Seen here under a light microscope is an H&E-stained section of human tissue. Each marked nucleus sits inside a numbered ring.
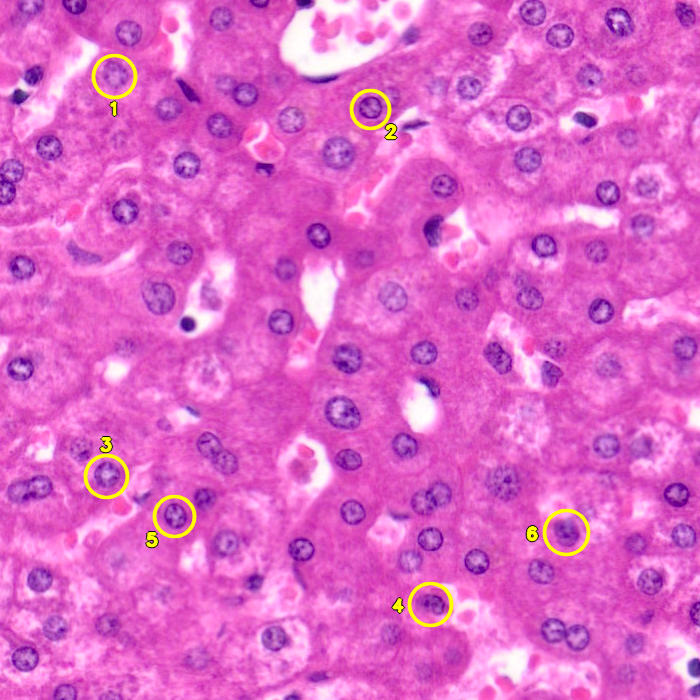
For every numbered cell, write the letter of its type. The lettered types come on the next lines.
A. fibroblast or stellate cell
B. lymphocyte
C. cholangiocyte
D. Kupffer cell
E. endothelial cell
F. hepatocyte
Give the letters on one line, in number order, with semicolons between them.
F; F; F; D; F; E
